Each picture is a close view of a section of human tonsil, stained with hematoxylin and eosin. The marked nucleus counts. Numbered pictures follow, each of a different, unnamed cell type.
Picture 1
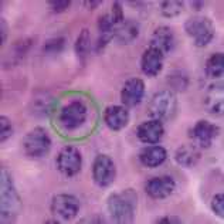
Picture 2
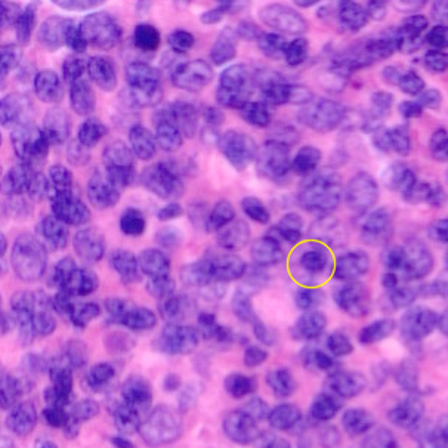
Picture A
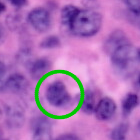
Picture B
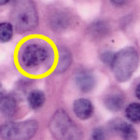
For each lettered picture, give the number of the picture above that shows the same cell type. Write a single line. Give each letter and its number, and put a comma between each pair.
A 2, B 1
